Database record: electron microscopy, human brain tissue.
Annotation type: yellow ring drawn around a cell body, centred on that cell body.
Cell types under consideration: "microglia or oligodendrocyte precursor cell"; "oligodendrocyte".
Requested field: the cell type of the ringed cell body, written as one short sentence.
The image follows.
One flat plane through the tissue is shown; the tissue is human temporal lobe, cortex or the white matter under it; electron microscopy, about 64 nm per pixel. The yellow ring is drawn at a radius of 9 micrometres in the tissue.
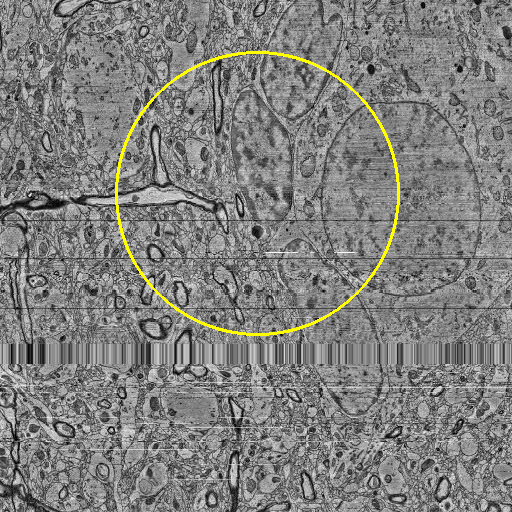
The ringed cell body represents a microglial cell or oligodendrocyte precursor cell.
